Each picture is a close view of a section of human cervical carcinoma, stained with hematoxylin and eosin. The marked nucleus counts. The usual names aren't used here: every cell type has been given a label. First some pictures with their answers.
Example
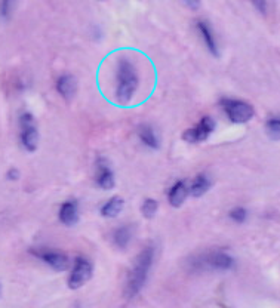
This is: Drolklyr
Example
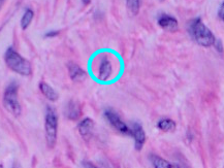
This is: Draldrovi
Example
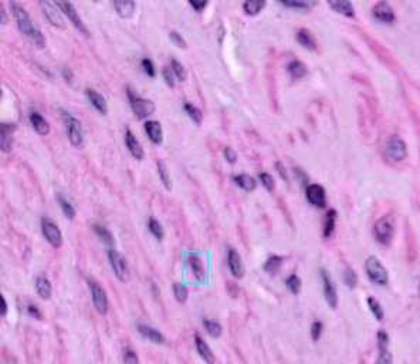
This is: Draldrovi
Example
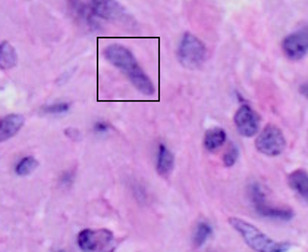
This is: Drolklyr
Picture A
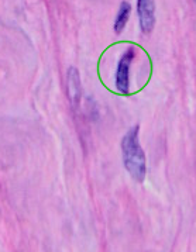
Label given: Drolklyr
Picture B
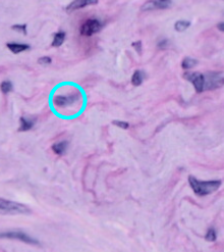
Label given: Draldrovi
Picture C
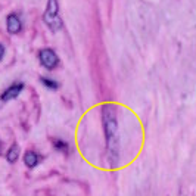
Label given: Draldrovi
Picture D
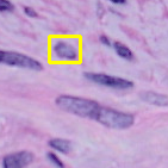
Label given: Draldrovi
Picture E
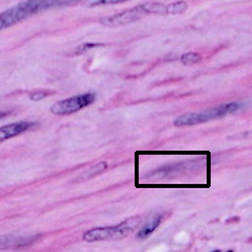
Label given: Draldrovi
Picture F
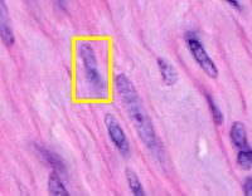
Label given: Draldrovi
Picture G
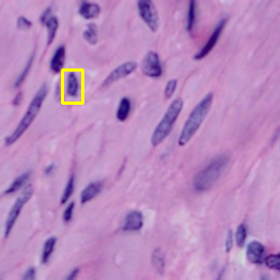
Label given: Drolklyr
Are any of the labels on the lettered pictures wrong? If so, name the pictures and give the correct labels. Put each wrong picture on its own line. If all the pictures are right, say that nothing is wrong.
All labels are correct.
